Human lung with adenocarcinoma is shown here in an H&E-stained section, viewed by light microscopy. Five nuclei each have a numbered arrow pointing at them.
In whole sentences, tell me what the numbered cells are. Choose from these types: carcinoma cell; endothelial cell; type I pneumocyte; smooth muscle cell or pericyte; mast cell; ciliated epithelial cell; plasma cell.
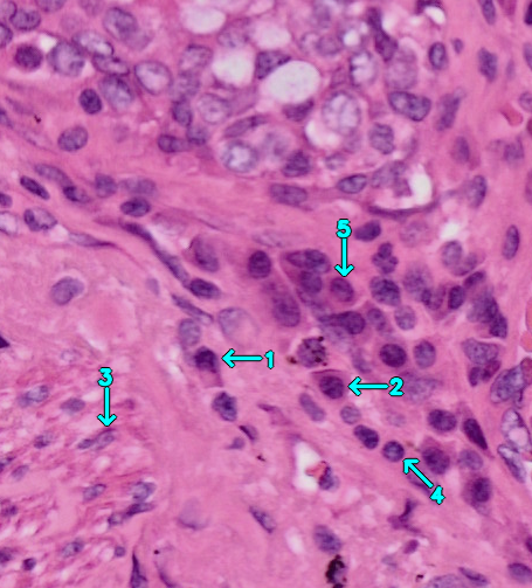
Cells 1, 2 and 5 are plasma cells. Cell 3 is a smooth muscle cell or pericyte. Cell 4 is a mast cell.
